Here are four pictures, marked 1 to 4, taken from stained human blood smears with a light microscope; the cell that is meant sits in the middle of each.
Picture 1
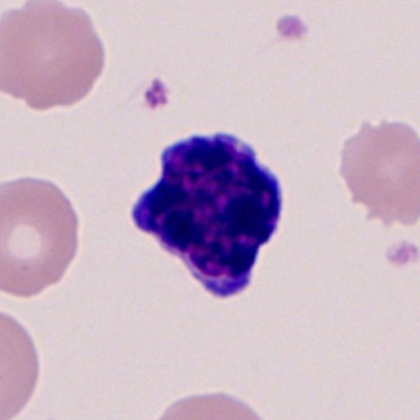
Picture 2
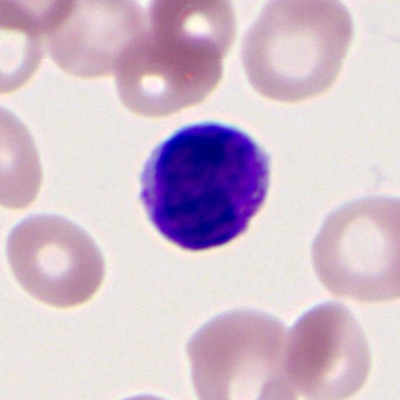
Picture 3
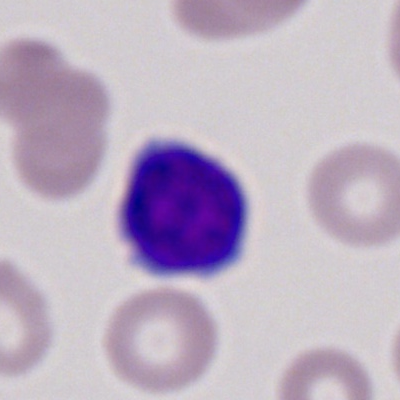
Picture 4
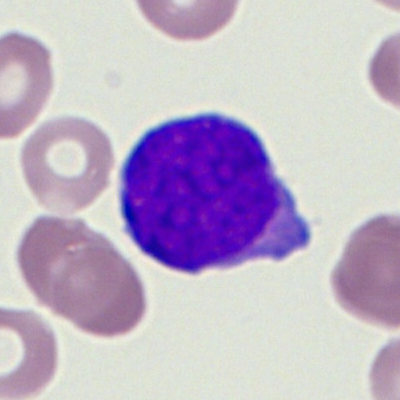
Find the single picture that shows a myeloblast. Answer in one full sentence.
The cell in picture 4 is the myeloblast.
